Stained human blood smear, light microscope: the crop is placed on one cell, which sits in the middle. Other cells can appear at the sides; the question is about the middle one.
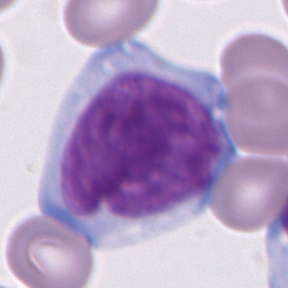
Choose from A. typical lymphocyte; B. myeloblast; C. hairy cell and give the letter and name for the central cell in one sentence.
The central cell in this crop is a myeloblast, corresponding to option B, the correct option.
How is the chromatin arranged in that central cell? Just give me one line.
The chromatin pattern here is coarse and clumped.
